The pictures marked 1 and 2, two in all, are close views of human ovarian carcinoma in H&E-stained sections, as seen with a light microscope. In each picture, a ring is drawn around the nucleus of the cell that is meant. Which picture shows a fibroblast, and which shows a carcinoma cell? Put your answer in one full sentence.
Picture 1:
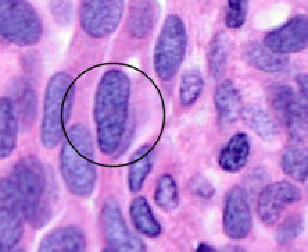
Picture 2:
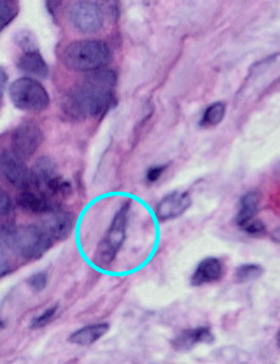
Picture 1 is of a carcinoma cell, and picture 2 is of a fibroblast.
